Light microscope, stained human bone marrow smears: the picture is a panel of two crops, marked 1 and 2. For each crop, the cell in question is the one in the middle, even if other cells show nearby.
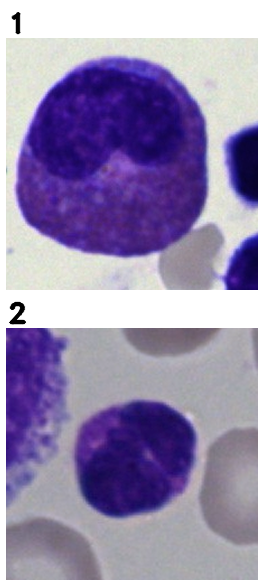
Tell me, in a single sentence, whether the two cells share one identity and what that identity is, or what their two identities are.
No, on this set crop 1 shows an eosinophil and crop 2 shows a basophil.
